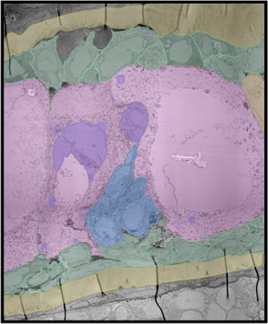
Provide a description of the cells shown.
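The notochord here is a rod of large rounded cells with pale interiors, coloured pink, some holding dense irregular inclusions coloured purple. Smaller dense cells coloured blue sit wedged between them, and the rod is wrapped by a layer of flattened cells in green and a thin outer band in yellow.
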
